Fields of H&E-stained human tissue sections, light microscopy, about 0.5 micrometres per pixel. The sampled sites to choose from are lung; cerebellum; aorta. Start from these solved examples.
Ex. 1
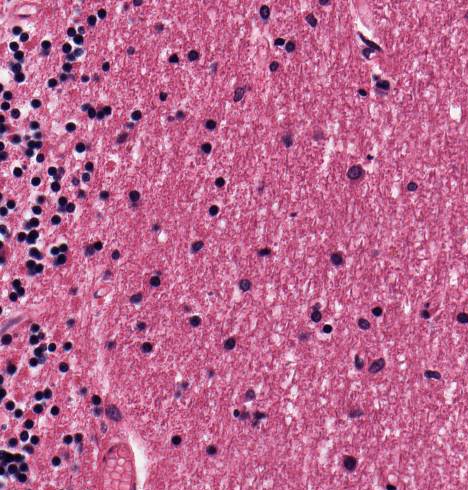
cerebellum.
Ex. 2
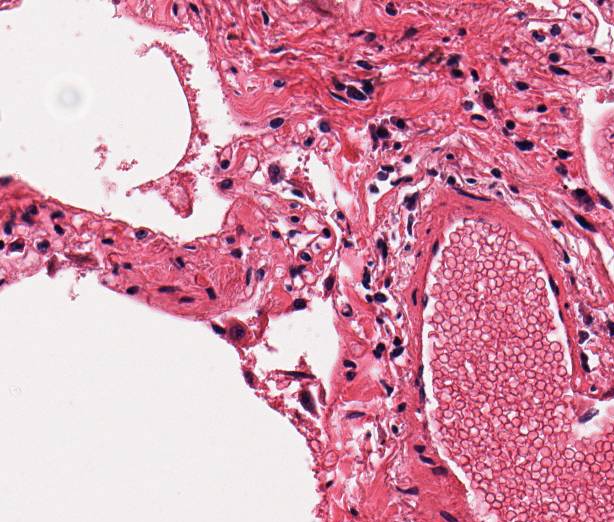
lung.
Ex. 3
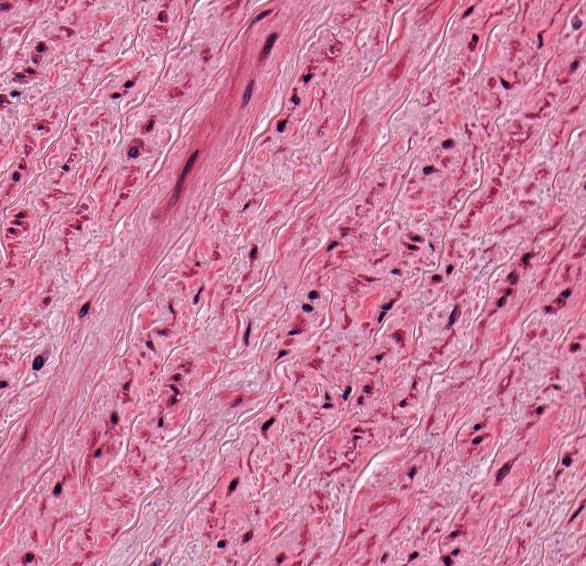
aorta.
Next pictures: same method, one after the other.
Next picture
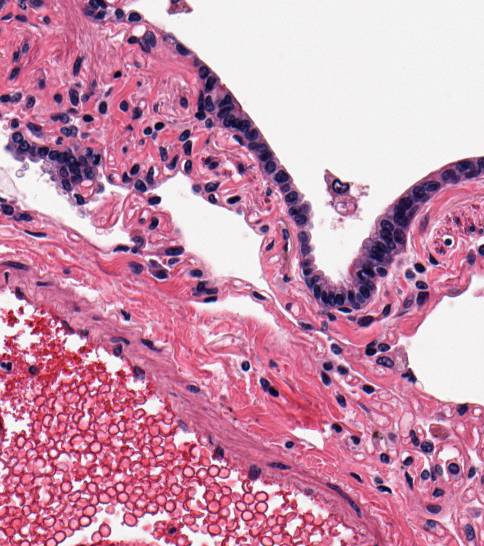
lung.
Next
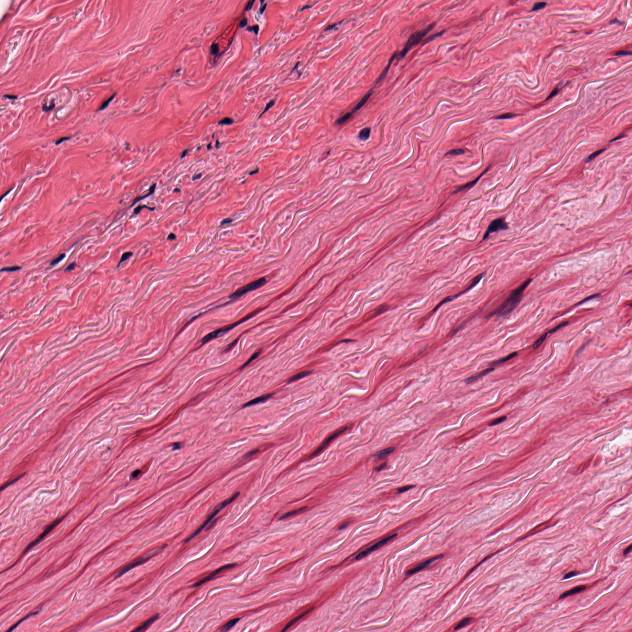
aorta.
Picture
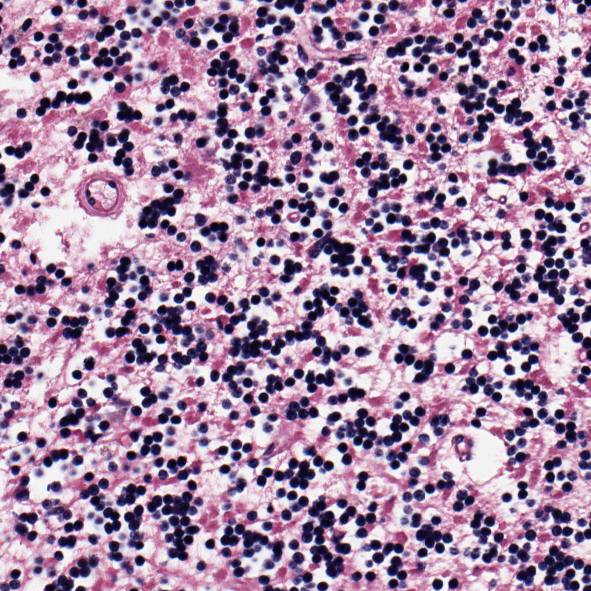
cerebellum.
